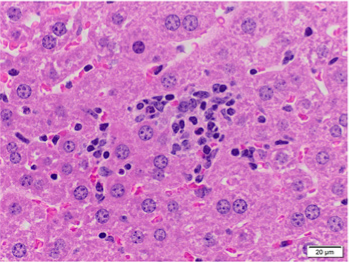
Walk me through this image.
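This is liver tissue made of plates of hepatocytes separated by narrow sinusoids. The hepatocytes are large and polygonal, with pink, finely granular cytoplasm and round central nuclei that show distinct nucleoli; several cells carry two nuclei. The sinusoids between the cell plates contain a few red blood cells and flattened lining cells with dark, elongated nuclei. Near the centre lies a small cluster of cells with small, dark, dense or irregular nuclei, standing out from the surrounding hepatocytes.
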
